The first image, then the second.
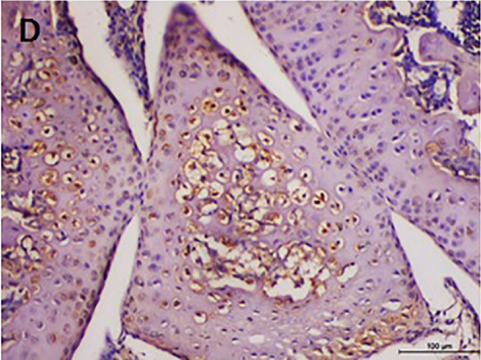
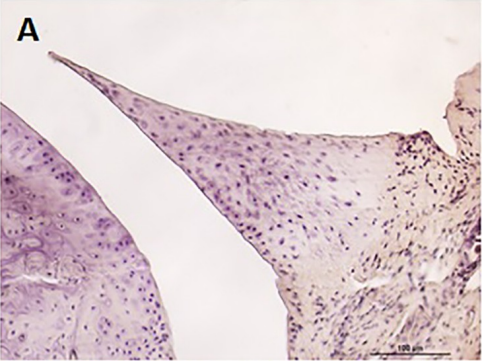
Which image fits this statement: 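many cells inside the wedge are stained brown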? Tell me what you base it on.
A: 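First image: many cells in the centre of the wedge carry brown stain around irregular spaces. Second image: the cells of the wedge are purple-blue with no brown stain in them. On this evidence: the first image.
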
